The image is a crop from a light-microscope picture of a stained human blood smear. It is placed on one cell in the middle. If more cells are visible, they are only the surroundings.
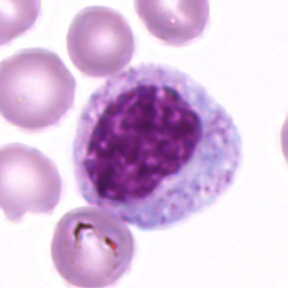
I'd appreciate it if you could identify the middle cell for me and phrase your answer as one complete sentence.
Framed in the middle of the crop is a metamyelocyte.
